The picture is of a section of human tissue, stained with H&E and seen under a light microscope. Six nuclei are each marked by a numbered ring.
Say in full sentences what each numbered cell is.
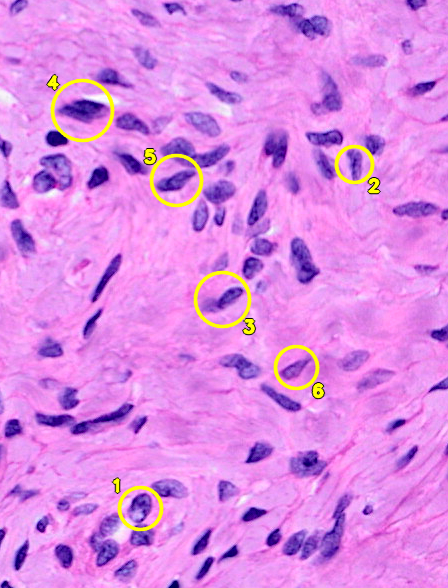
Cells 1 and 4 are endothelial cells. Cells 2, 3, 5 and 6 are fibroblasts.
